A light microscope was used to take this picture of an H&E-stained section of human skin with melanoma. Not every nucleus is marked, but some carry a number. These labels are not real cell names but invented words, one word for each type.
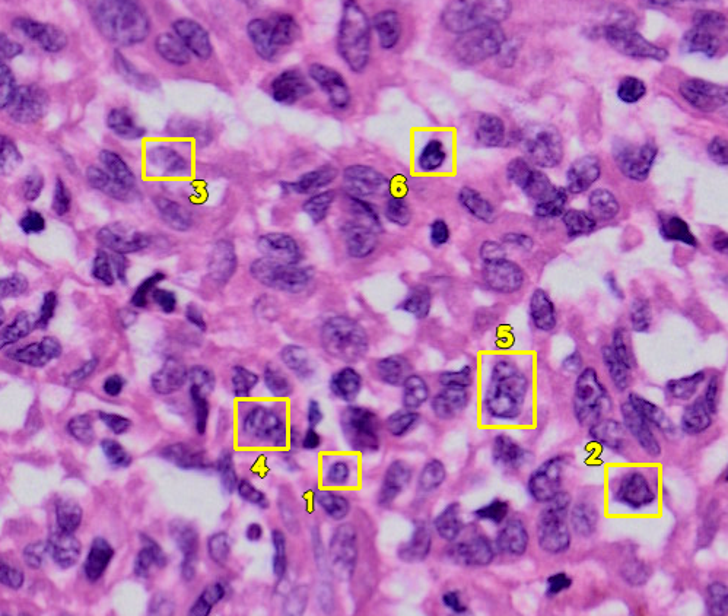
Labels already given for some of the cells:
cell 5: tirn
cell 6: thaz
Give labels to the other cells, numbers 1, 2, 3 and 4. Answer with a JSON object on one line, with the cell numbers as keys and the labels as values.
{"1": "thaz", "2": "tirn", "3": "tirn", "4": "tirn"}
